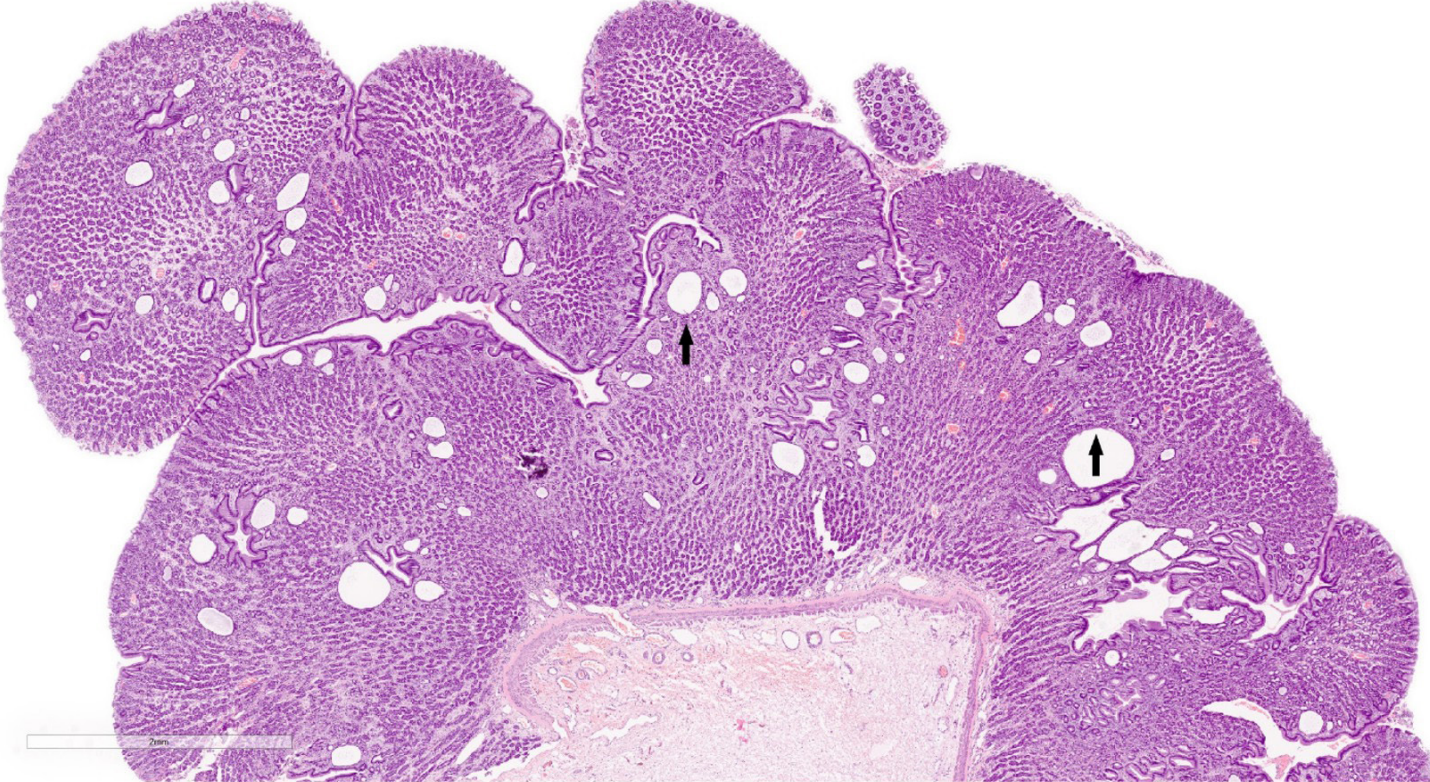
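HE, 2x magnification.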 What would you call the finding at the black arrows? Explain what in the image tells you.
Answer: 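The arrows point to round, empty, clear spaces within the mucosa. Such round clear spaces are scattered at many places through the mucosa. The spaces are much wider than the surrounding closely packed glands. So: cystically dilated mucosal glands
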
